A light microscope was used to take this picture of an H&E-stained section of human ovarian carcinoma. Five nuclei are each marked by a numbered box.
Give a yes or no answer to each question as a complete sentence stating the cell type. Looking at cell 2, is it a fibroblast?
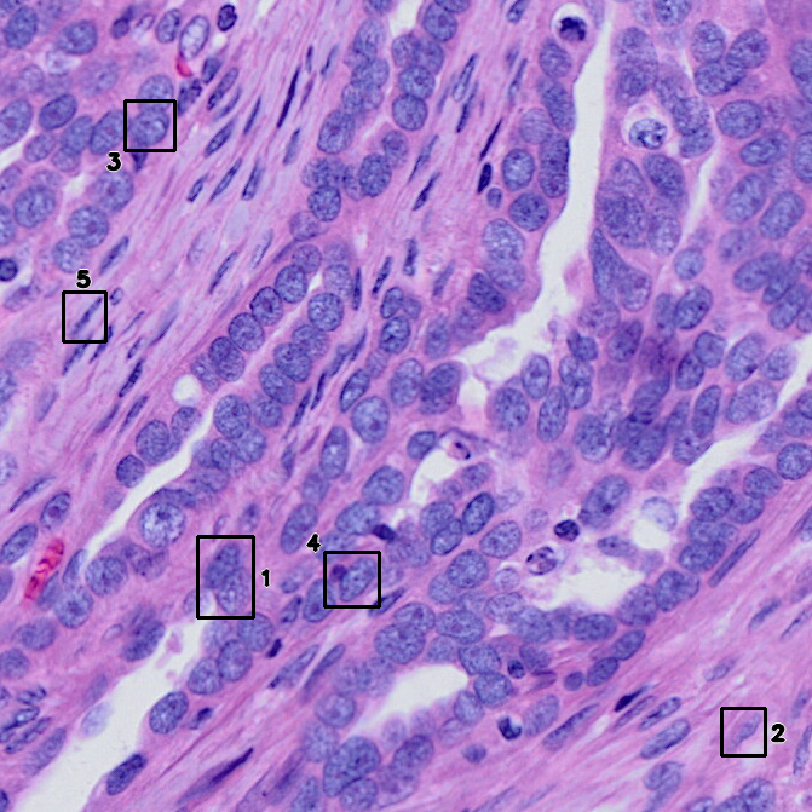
Yes, the one numbered 2 is a fibroblast.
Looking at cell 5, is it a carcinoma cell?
No, cell 5 is not to be taken for a carcinoma cell; it is a fibroblast.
